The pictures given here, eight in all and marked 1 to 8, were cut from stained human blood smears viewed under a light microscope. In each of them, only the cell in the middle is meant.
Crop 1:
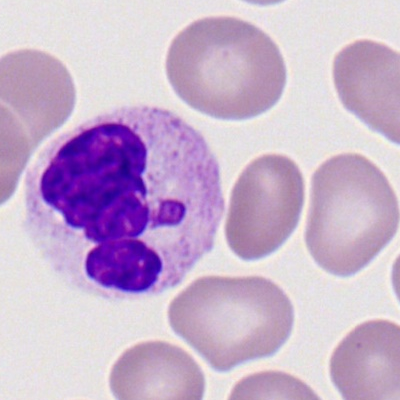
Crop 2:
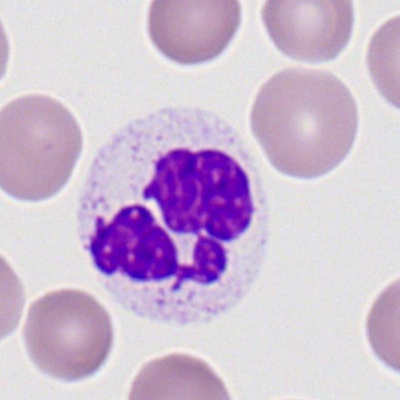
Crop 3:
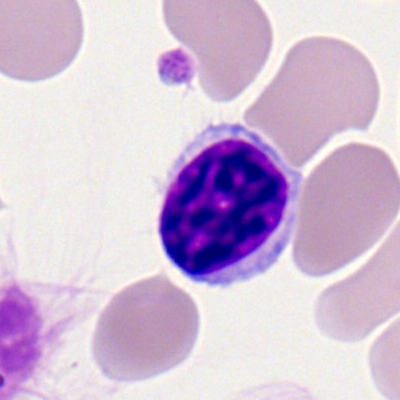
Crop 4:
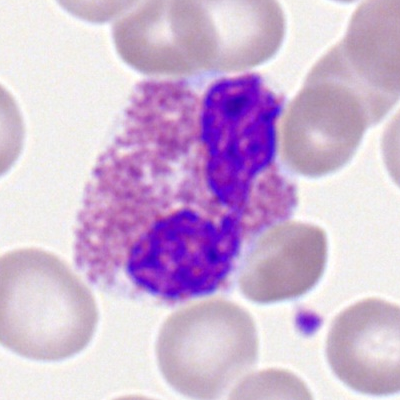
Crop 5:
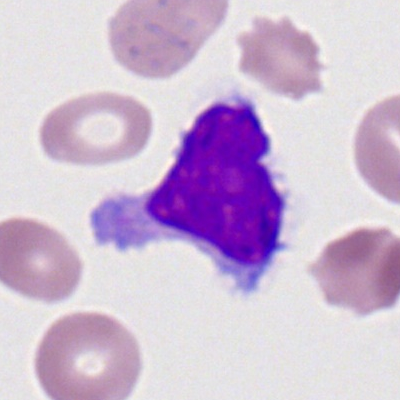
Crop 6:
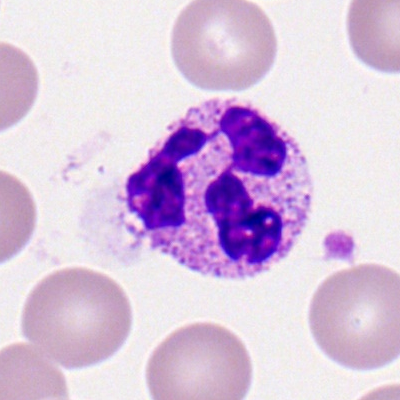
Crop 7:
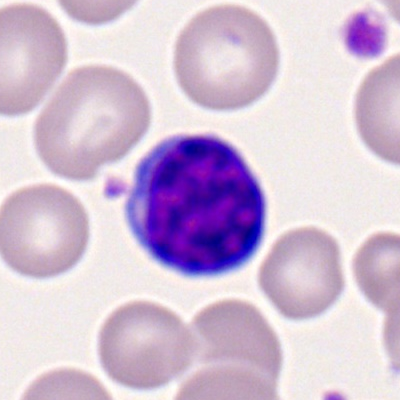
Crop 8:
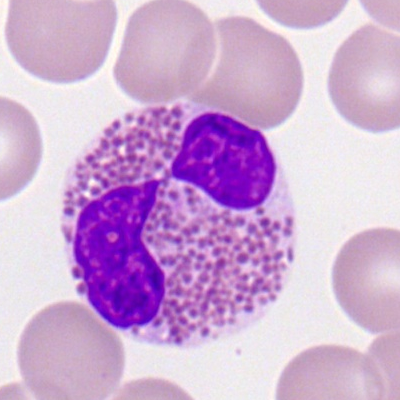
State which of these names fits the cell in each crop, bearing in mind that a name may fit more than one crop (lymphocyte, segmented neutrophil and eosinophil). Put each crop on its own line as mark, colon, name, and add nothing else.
1: segmented neutrophil
2: segmented neutrophil
3: lymphocyte
4: eosinophil
5: lymphocyte
6: segmented neutrophil
7: lymphocyte
8: eosinophil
